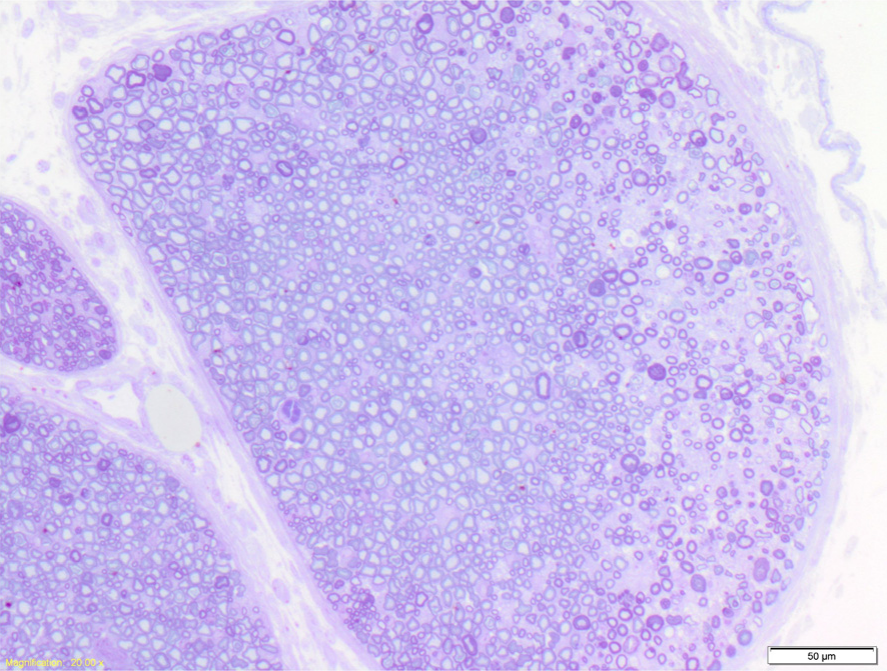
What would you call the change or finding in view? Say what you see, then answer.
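Toward the right edge of the large fascicle the myelinated fibres are sparser and more widely spaced. On the right many myelin profiles are thick, dark and collapsed, without a clear central axon. The left part of the fascicle shows densely packed, evenly ringed fibres with pale axons. That points to this answer: axonal degeneration.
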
